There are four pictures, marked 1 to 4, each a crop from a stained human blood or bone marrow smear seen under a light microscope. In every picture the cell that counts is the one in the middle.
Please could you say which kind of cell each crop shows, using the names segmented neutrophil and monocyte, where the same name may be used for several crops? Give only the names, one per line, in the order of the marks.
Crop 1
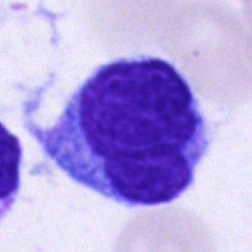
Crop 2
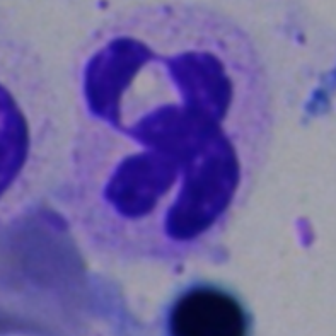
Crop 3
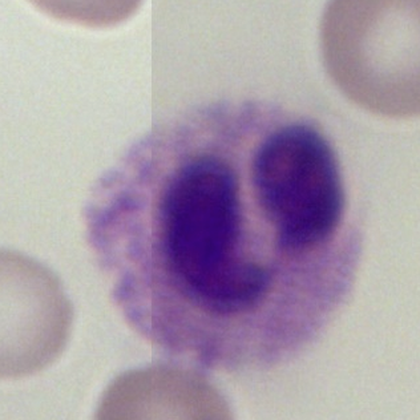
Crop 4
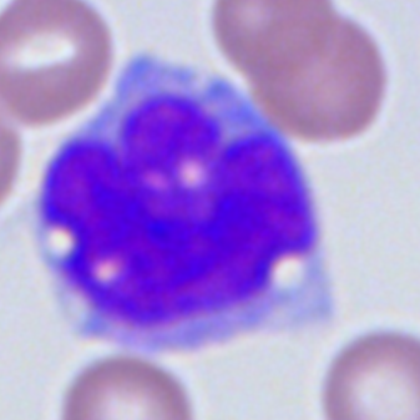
monocyte
segmented neutrophil
segmented neutrophil
monocyte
